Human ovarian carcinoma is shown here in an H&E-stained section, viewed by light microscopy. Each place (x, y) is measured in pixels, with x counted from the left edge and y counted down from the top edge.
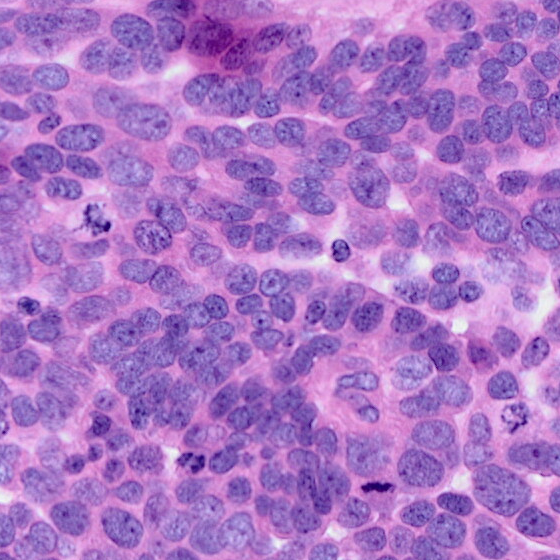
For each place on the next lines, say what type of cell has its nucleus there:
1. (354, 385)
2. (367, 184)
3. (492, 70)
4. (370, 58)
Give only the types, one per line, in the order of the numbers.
fibroblast
carcinoma cell
carcinoma cell
carcinoma cell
